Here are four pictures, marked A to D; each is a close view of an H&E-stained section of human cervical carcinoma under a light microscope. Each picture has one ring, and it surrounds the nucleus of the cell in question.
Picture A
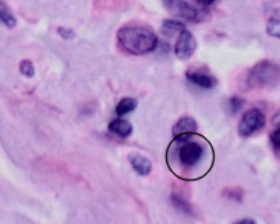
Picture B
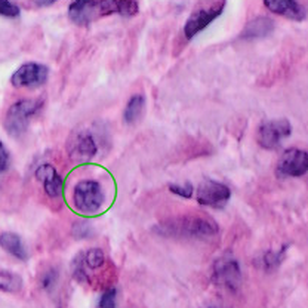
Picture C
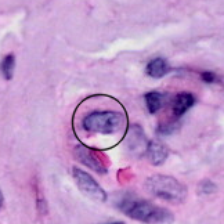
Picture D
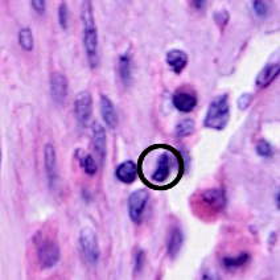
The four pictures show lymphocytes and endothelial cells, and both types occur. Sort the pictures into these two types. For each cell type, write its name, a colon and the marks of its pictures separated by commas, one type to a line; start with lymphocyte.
lymphocyte: A, B, D
endothelial cell: C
